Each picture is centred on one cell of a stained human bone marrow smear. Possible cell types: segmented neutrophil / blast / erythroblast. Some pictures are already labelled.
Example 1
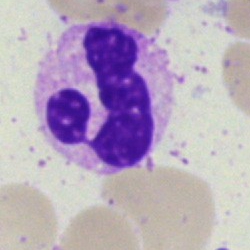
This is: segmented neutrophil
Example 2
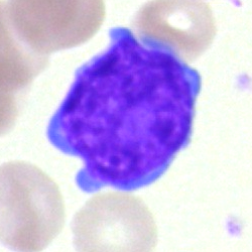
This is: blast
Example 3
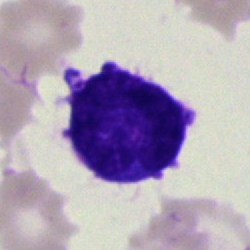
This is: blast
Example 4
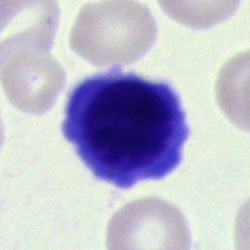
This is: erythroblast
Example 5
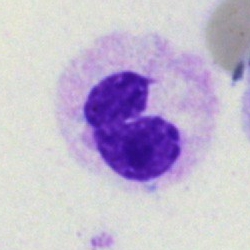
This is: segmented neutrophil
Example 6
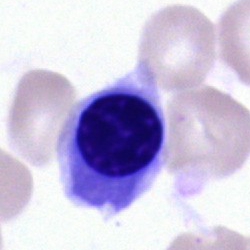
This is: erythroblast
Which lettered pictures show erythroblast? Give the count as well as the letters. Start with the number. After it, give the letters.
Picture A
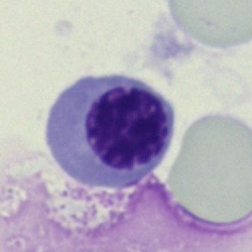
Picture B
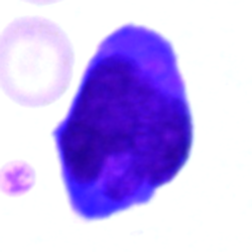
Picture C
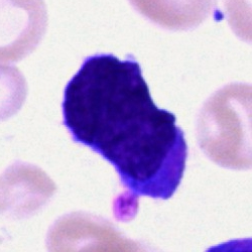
Count: 1 (A)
